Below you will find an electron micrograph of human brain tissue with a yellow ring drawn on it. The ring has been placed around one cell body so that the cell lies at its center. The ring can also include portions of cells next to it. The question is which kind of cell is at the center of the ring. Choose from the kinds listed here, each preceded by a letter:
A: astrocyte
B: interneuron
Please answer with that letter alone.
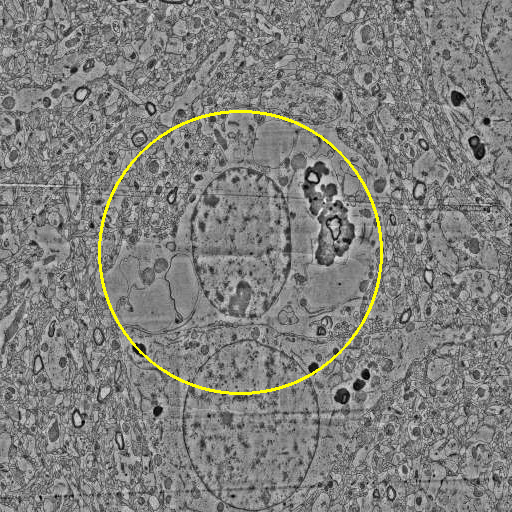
A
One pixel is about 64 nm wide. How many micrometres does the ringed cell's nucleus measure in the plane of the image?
Roughly 10 by 7 micrometres in this plane, for the nucleus of the ringed cell.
